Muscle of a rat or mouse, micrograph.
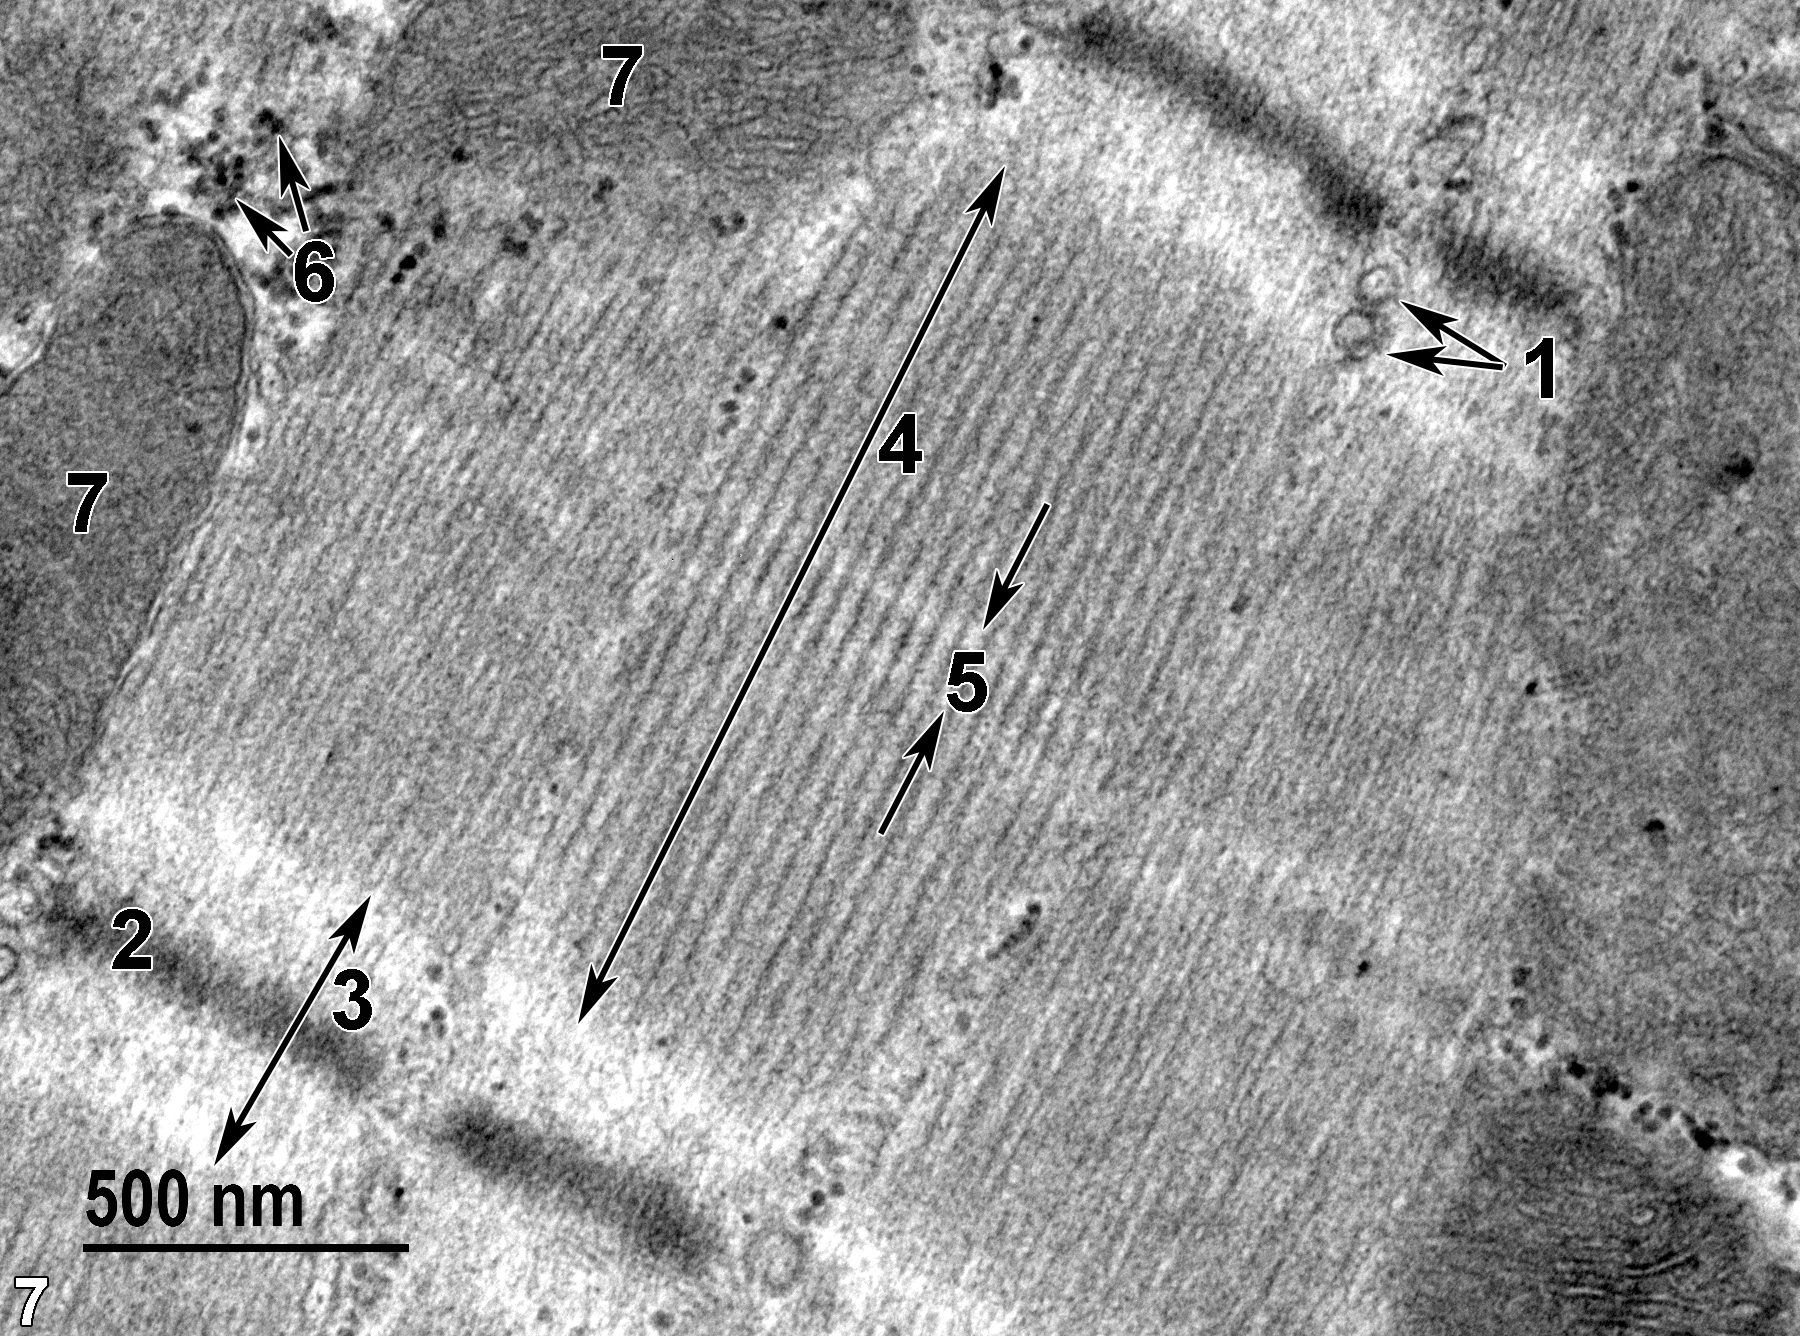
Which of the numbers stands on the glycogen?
It's 6.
